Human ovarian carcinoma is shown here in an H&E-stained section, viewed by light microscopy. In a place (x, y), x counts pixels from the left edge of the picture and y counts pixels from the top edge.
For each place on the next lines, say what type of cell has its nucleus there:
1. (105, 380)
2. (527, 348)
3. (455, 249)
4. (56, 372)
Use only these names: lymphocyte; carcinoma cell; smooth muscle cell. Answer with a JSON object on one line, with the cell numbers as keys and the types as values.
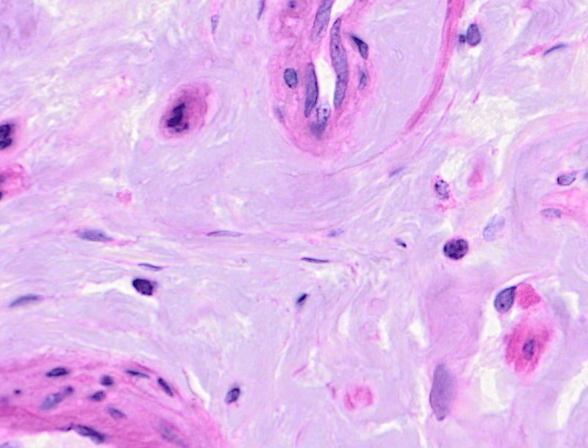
{"1": "smooth muscle cell", "2": "smooth muscle cell", "3": "lymphocyte", "4": "smooth muscle cell"}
